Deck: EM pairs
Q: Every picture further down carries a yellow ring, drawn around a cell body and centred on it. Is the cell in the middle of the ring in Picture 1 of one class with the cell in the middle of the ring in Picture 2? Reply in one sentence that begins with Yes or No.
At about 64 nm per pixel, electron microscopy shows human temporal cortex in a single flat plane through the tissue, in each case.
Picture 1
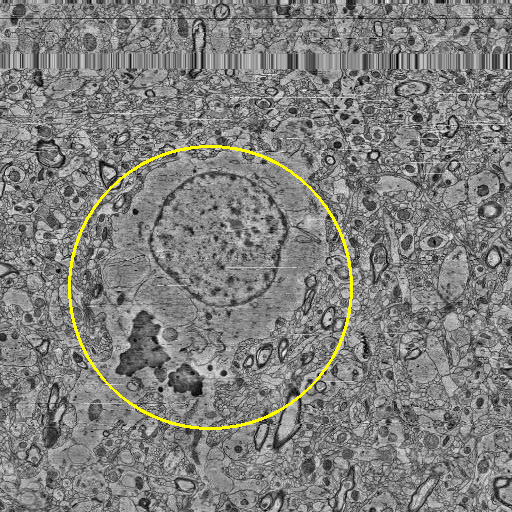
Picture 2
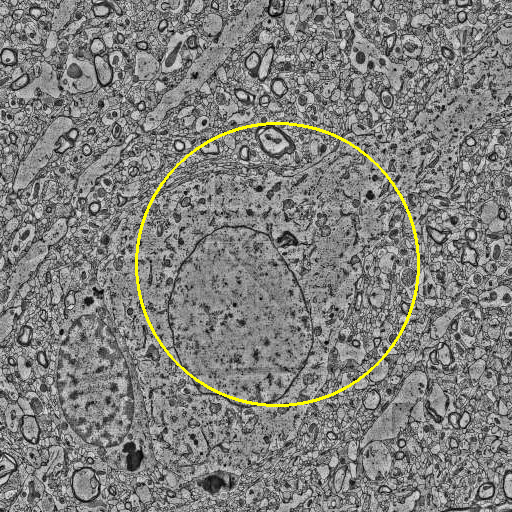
No, the cell centred in the ring of Picture 1 and the one in Picture 2 belong to separate classes.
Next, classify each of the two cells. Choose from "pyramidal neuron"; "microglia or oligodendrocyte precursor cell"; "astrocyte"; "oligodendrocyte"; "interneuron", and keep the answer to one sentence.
In the first picture it is an astrocyte; in the second it is a pyramidal neuron.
